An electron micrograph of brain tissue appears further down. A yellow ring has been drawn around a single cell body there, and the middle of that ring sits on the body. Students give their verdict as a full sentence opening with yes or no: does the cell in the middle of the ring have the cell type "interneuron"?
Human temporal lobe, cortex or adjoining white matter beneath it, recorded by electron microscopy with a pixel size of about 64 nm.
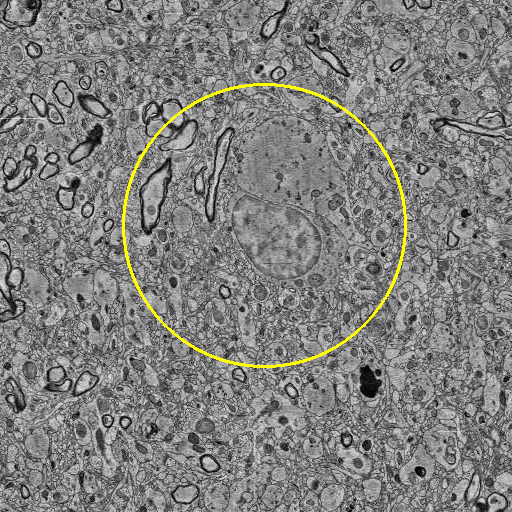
No, in this picture the cell sitting at the middle of the ring has a different cell type.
